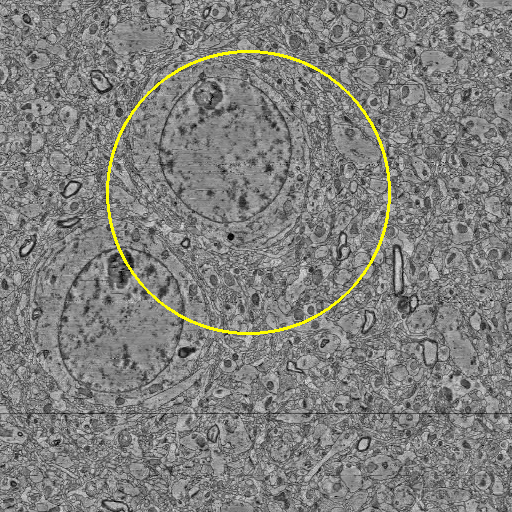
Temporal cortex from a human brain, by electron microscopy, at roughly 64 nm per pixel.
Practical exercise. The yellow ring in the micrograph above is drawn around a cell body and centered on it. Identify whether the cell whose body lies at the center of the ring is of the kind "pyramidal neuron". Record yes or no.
yes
